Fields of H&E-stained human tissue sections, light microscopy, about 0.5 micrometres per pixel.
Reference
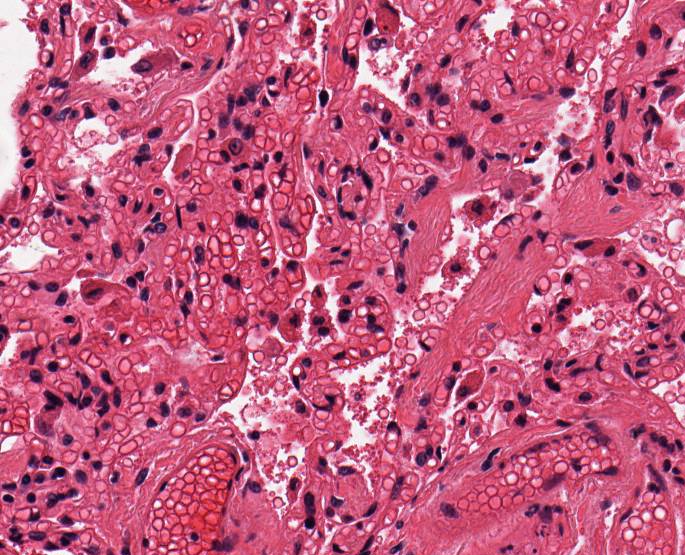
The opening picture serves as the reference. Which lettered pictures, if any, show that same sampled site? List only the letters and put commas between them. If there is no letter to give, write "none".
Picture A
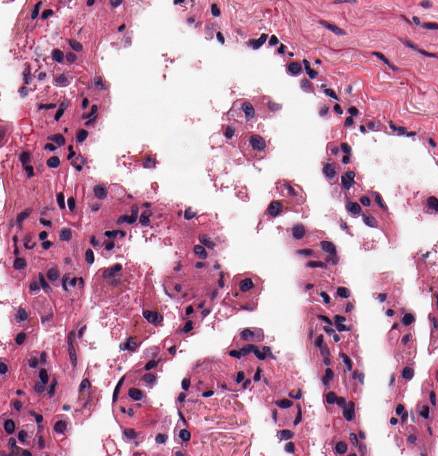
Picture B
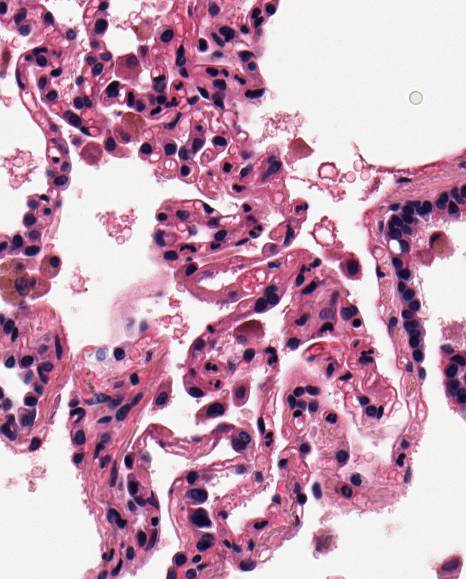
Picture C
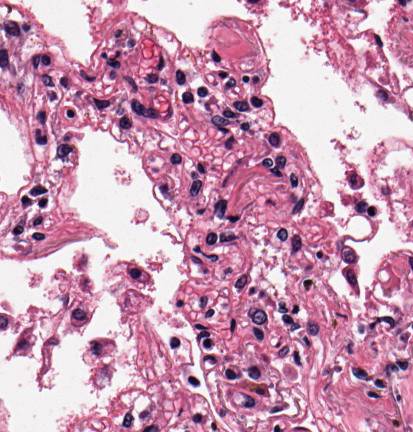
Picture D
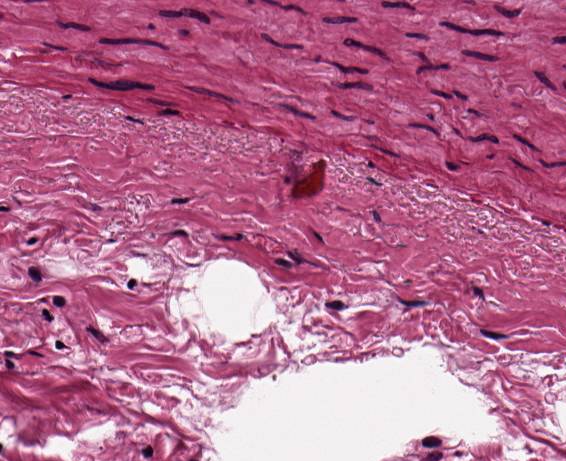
A, B, C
